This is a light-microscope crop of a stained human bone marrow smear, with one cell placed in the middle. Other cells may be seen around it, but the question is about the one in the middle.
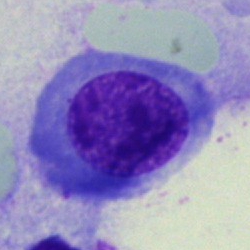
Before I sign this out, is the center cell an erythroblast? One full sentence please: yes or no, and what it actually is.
Yes, the centre of the crop holds an erythroblast.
